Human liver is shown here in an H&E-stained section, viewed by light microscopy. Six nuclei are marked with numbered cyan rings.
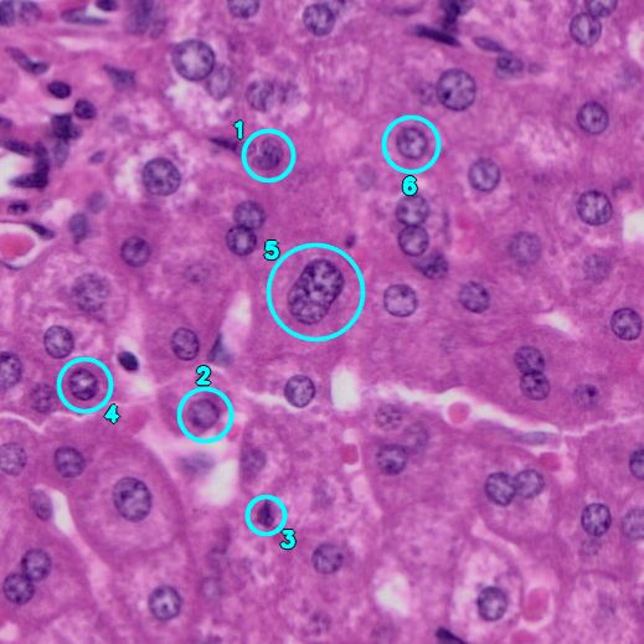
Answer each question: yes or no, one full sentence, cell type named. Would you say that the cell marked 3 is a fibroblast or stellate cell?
Yes, the cell at number 3 is a fibroblast or stellate cell.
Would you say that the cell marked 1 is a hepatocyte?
No, a fibroblast or stellate cell, not a hepatocyte, is the cell with number 1.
